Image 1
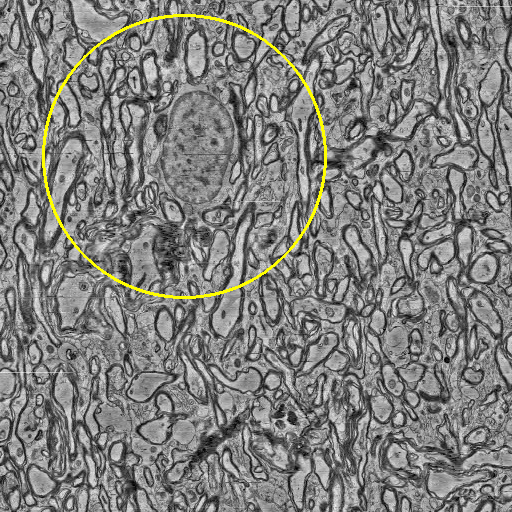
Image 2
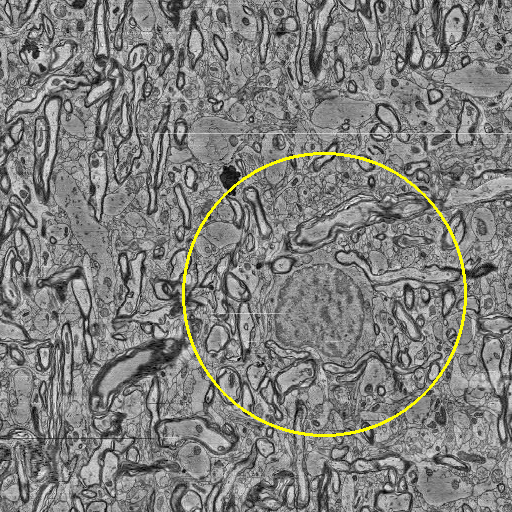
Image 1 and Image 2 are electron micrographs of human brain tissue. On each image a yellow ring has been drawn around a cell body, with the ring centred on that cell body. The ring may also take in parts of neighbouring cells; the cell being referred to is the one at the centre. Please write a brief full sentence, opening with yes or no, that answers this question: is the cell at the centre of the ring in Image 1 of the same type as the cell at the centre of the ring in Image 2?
Yes, both cells are of the same type.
